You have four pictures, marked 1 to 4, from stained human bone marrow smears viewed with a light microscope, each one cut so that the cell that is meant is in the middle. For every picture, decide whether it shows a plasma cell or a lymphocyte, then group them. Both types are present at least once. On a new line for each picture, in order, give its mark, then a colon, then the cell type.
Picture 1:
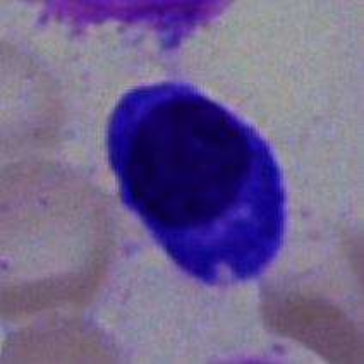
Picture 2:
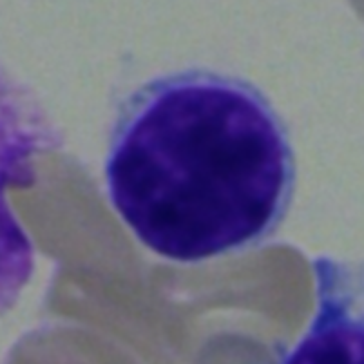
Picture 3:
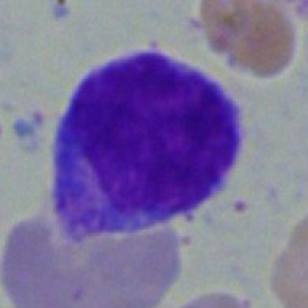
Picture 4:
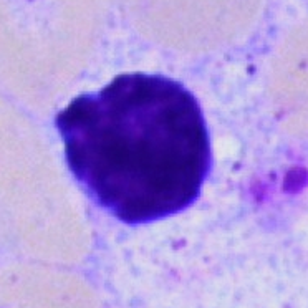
1: plasma cell
2: lymphocyte
3: lymphocyte
4: lymphocyte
